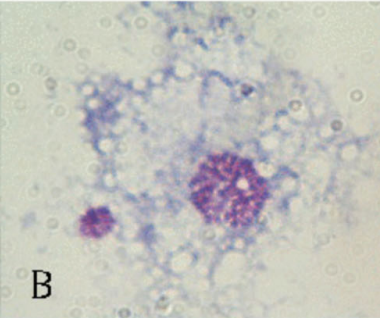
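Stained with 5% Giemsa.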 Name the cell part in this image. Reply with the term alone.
Micronucleus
